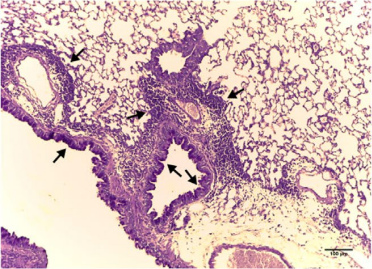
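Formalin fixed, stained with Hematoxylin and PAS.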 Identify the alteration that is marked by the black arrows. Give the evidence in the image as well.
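Airway linings carry dense dark purple-magenta staining. Thick cuffs of densely packed small dark nuclei surround airways and a vessel. Arrows point at the airway lining and the surrounding dense cell cuffs. On this evidence: goblet cell hyperplasia and infiltration.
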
